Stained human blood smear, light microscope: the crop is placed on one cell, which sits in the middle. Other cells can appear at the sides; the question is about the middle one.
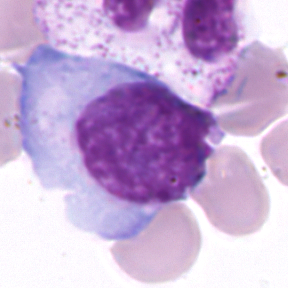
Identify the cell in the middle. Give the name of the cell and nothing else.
plasma cell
